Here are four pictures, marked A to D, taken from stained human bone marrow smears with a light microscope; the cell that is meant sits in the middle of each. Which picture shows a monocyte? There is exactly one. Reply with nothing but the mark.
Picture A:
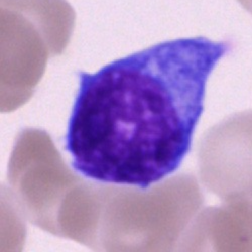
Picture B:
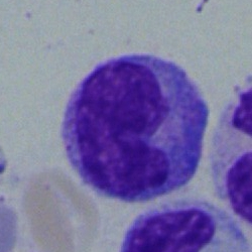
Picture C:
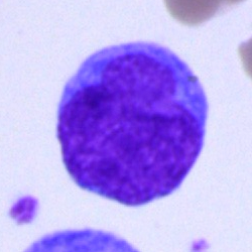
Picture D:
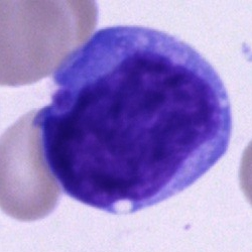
B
